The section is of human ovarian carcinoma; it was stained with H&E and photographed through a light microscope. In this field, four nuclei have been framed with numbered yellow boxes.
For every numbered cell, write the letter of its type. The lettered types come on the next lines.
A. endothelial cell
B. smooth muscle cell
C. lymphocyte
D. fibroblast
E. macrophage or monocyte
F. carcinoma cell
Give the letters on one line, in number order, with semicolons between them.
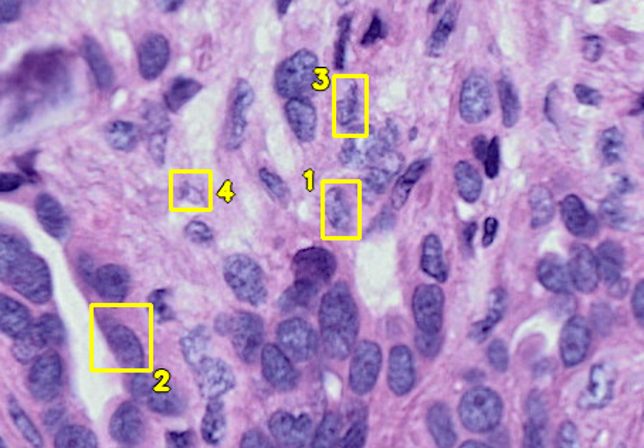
D; F; D; D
